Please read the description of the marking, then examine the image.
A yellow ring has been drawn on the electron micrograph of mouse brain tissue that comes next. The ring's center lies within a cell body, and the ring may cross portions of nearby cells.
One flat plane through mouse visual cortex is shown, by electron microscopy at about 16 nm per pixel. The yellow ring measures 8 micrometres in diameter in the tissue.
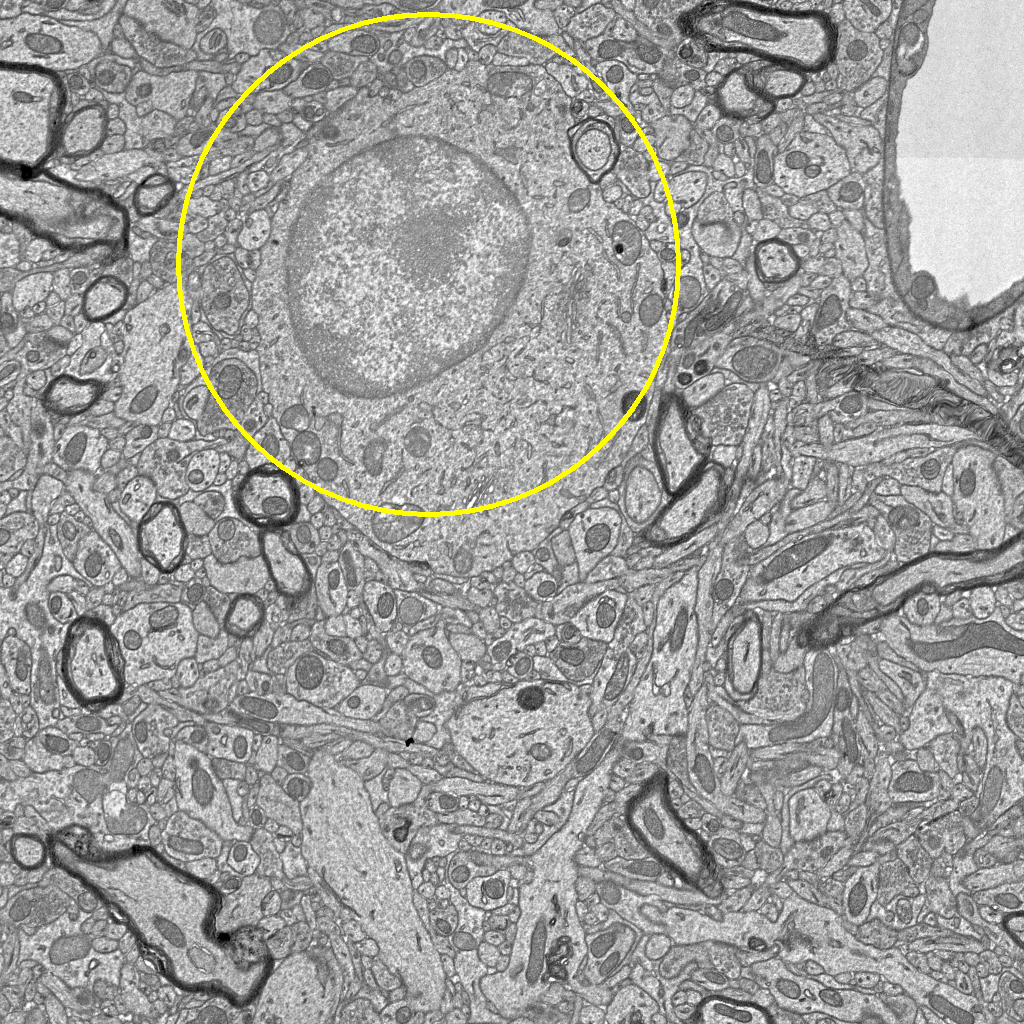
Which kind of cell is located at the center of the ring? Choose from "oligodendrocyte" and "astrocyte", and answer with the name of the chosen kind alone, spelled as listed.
oligodendrocyte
